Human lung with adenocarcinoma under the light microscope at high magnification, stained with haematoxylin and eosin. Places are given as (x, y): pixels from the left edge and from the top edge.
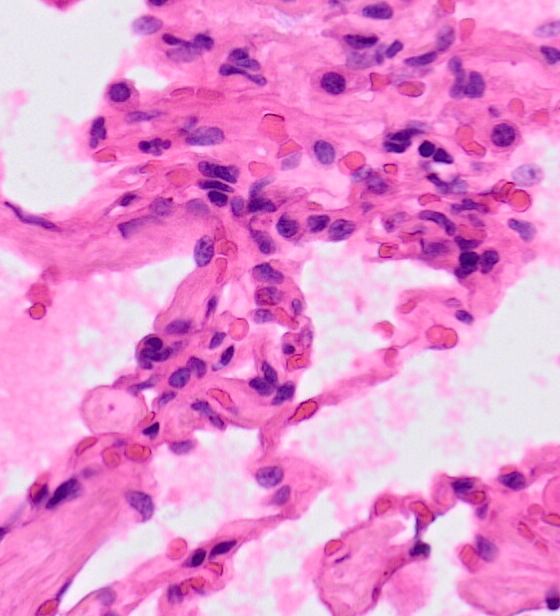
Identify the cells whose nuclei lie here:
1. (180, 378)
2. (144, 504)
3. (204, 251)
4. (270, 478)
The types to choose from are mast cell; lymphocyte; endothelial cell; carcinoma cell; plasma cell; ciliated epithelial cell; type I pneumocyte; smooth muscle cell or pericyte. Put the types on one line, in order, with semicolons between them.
mast cell; type I pneumocyte; type I pneumocyte; type I pneumocyte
